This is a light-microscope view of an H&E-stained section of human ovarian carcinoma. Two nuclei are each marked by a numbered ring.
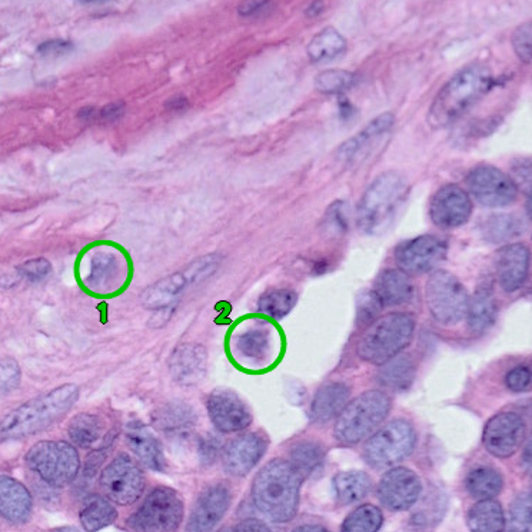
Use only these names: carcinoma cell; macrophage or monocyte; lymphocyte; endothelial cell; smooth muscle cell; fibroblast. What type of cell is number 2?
macrophage or monocyte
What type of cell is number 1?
fibroblast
